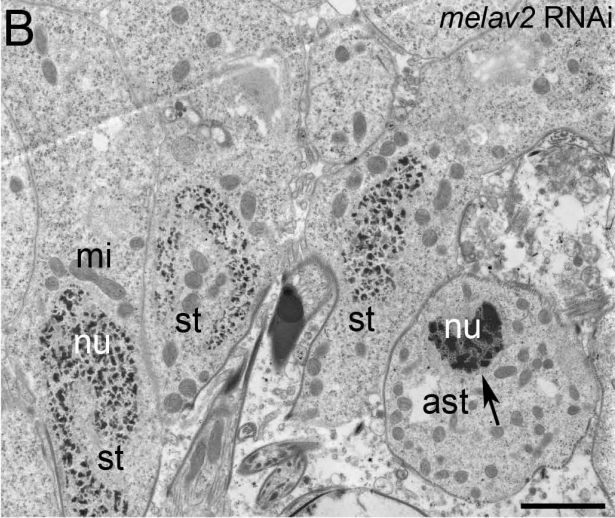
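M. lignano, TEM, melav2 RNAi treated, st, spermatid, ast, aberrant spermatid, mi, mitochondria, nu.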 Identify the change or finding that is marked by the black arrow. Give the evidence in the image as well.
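Condensed nucleus. The arrow points at a small, compact, very dark nucleus. Neighbouring nuclei show dispersed, granular dark chromatin clumps.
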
